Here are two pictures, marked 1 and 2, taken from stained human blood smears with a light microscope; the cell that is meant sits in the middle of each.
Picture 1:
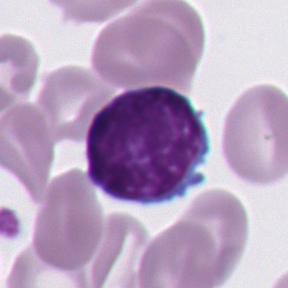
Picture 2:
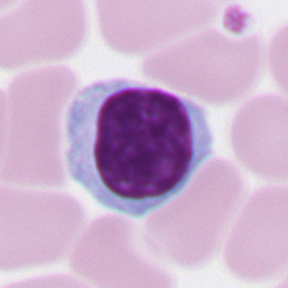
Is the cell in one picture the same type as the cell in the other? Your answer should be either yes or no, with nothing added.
yes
